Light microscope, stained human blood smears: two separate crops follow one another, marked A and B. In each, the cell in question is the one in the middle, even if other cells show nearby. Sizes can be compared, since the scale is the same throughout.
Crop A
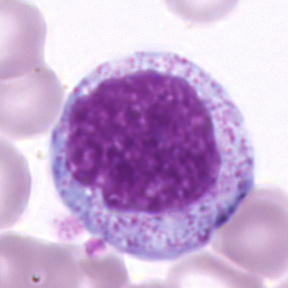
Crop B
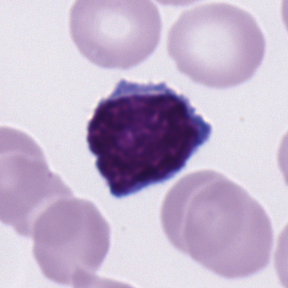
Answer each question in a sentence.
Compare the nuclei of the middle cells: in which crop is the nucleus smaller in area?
The nucleus in crop B is smaller; the one in crop A has about 2 times its area.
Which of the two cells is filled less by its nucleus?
Of the two, the nucleus in crop A leaves more room for cytoplasm.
